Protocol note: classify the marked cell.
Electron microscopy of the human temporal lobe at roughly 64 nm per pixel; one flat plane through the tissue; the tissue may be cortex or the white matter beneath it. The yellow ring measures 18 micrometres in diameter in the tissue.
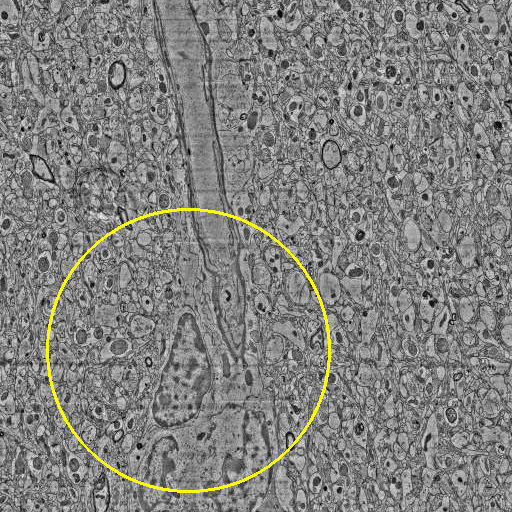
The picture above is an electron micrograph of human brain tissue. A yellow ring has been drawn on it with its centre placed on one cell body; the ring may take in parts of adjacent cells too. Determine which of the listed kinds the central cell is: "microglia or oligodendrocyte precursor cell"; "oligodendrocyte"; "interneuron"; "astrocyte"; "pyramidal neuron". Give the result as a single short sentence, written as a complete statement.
The central cell is a microglial cell or oligodendrocyte precursor cell.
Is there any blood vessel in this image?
Yes, one is visible.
